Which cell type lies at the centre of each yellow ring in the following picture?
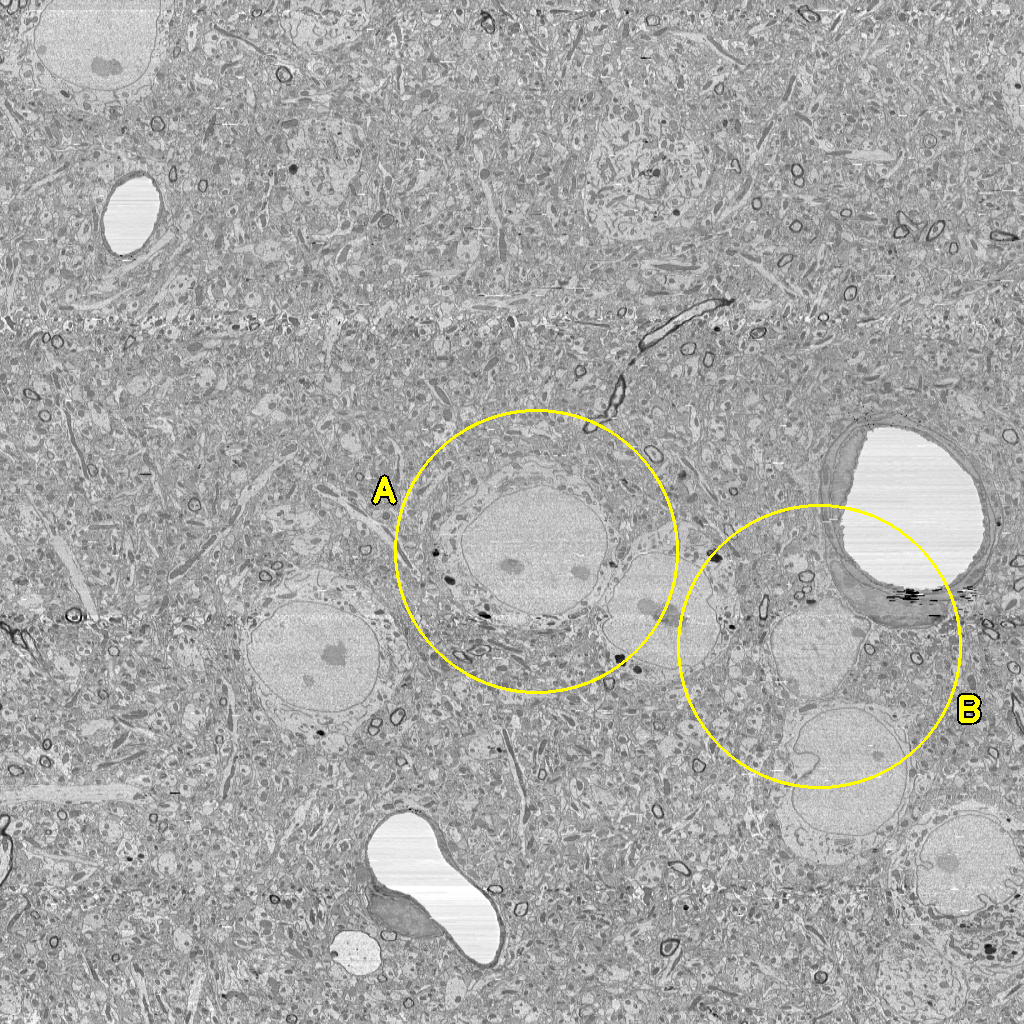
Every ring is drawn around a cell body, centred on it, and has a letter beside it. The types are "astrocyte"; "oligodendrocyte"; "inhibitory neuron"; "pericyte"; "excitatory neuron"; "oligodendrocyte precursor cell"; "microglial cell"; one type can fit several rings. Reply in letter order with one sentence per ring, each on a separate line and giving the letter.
Ring A marks the cell body of an excitatory neuron.
Ring B marks the cell body of an astrocyte.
